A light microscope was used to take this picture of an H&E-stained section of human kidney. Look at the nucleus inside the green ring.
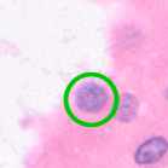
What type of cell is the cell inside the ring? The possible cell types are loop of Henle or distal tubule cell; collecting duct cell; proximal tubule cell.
proximal tubule cell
